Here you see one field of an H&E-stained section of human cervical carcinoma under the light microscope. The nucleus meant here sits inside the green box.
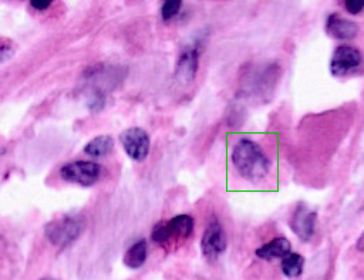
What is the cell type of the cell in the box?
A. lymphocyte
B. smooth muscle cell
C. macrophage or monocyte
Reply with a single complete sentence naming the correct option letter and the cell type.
It is option C that correctly calls the cell in the box a macrophage or monocyte.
